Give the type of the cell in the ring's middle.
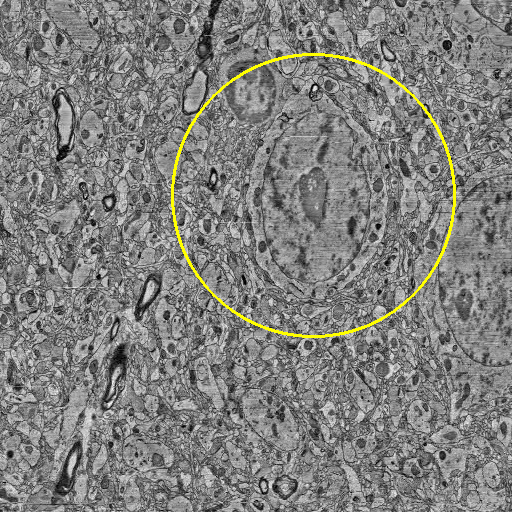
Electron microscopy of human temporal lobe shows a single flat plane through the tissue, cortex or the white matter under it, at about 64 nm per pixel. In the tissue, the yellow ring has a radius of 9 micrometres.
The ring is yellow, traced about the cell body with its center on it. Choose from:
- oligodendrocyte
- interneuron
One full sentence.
Here, an interneuron is the cell lying at the center of the yellow ring.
